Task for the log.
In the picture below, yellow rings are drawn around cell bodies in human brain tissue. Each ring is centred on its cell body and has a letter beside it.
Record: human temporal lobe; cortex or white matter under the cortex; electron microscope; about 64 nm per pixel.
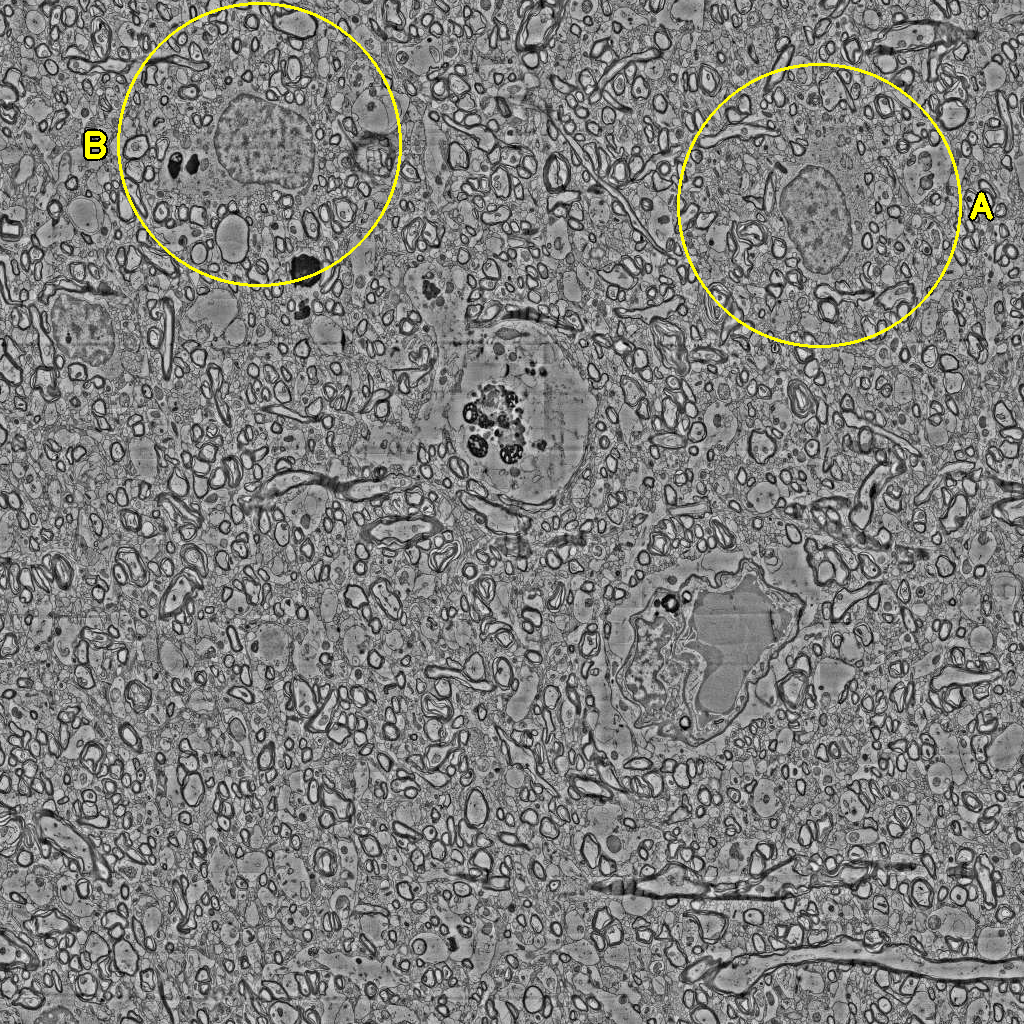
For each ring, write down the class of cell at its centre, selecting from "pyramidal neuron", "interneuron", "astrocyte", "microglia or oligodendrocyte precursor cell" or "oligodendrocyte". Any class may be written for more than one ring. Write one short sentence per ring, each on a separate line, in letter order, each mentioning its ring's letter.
The cell inside ring A, at its centre, is an oligodendrocyte.
The cell inside ring B, at its centre, is an oligodendrocyte.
